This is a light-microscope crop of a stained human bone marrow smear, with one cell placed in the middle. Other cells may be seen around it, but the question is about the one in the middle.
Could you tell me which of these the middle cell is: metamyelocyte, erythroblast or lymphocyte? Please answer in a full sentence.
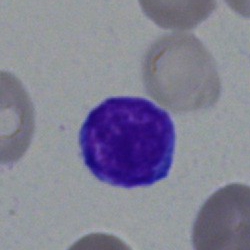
This crop's central cell is a lymphocyte.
